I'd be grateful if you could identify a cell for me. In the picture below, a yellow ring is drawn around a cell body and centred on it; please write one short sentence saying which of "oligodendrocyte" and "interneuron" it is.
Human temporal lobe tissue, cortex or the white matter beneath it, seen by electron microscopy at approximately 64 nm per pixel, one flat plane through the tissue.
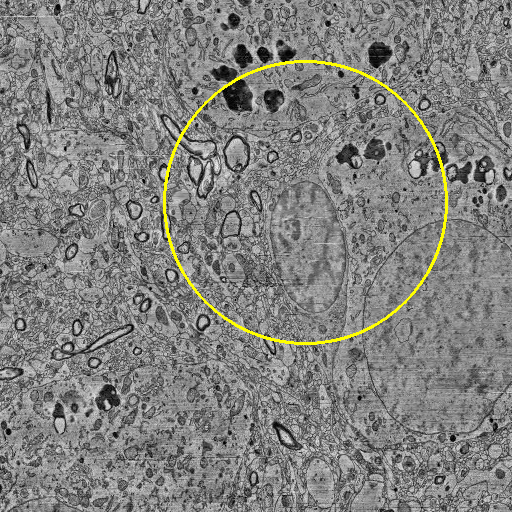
The cell under the ring's centre is an oligodendrocyte.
